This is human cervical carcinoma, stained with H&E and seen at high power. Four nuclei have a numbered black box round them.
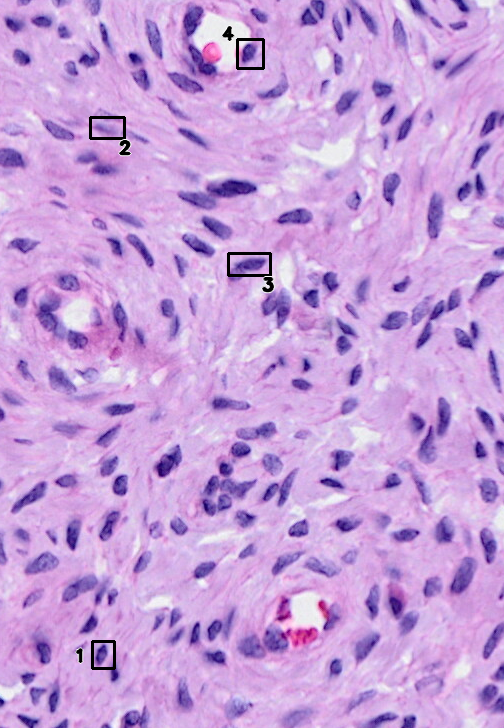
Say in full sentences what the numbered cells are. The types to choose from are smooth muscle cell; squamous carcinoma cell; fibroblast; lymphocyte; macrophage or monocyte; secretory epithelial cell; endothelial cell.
Cells 1, 2 and 3 are fibroblasts. Cell 4 is an endothelial cell.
